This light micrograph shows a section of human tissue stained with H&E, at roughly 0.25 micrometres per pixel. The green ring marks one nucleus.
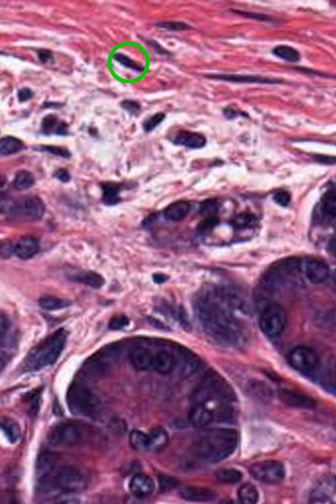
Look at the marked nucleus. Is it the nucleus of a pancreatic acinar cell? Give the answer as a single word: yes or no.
no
